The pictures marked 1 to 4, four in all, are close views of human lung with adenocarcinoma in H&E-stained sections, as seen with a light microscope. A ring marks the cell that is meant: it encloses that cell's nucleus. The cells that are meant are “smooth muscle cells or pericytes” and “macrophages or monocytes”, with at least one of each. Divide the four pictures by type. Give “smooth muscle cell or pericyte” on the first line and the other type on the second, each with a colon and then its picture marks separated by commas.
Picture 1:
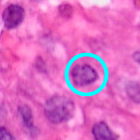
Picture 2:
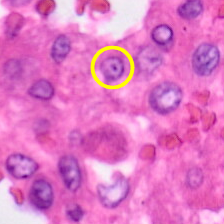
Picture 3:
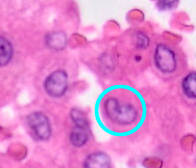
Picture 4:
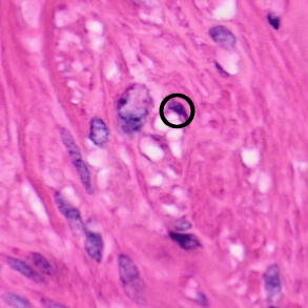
smooth muscle cell or pericyte: 4
macrophage or monocyte: 1, 2, 3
